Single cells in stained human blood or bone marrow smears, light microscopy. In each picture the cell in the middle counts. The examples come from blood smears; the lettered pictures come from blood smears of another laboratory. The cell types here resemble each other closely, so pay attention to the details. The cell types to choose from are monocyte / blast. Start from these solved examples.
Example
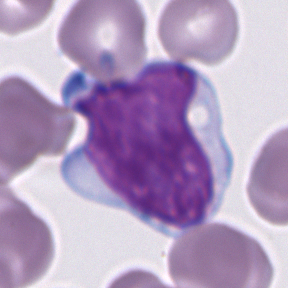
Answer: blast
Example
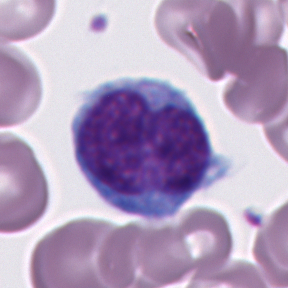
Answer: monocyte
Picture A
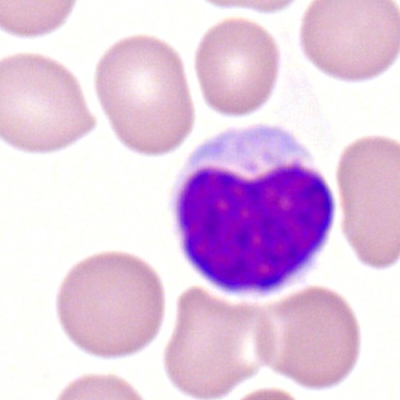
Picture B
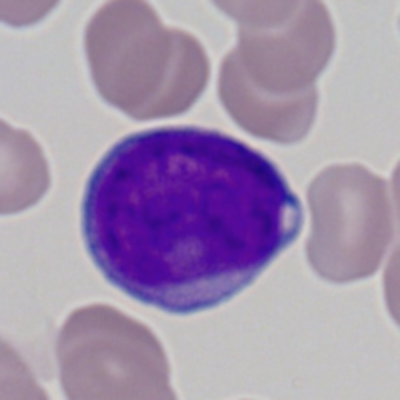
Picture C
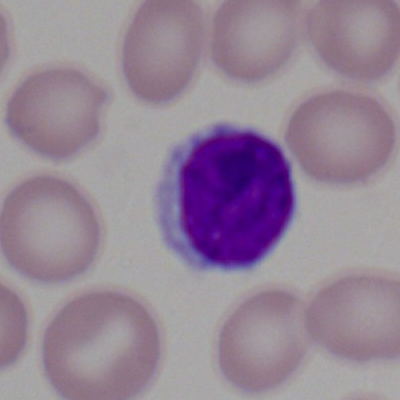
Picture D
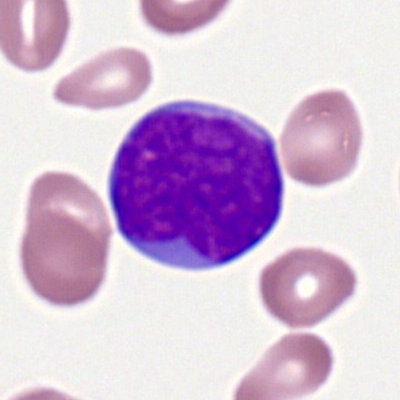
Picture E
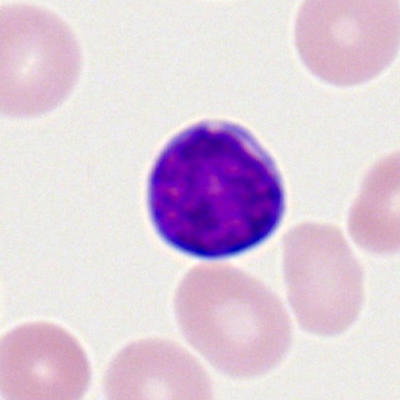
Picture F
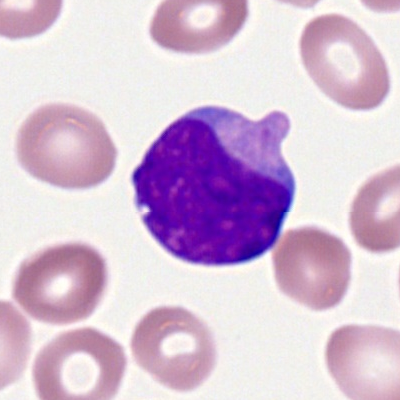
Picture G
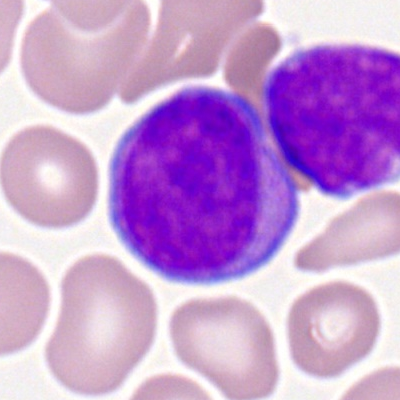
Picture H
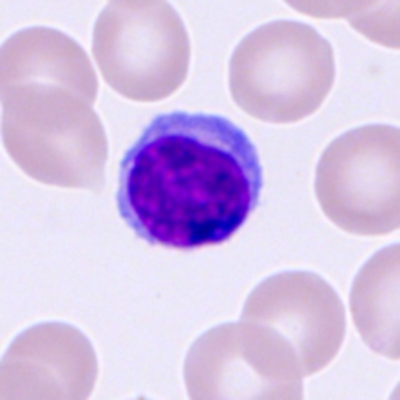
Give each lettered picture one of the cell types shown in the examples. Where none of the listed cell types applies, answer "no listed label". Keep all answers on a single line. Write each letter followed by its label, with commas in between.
A no listed label, B blast, C no listed label, D blast, E no listed label, F blast, G blast, H no listed label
